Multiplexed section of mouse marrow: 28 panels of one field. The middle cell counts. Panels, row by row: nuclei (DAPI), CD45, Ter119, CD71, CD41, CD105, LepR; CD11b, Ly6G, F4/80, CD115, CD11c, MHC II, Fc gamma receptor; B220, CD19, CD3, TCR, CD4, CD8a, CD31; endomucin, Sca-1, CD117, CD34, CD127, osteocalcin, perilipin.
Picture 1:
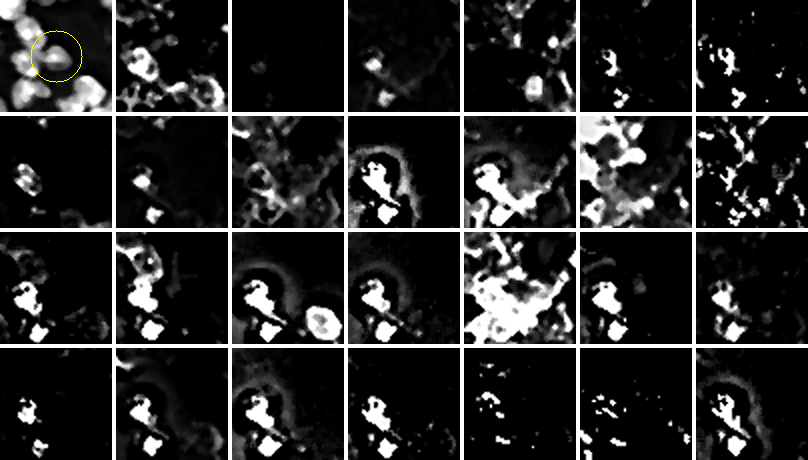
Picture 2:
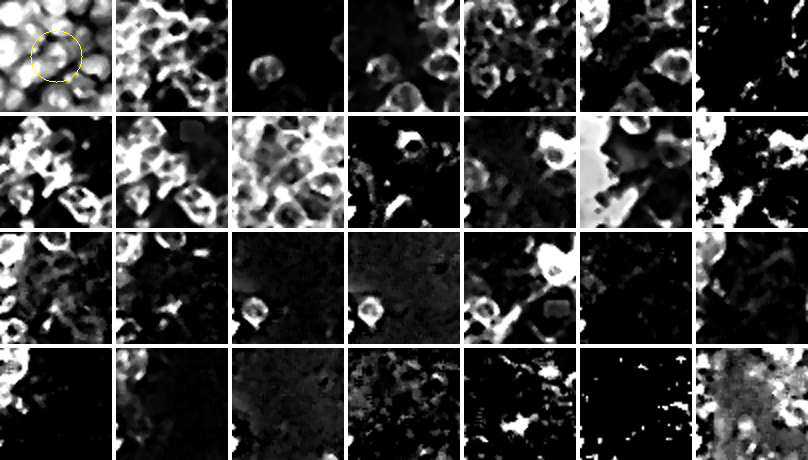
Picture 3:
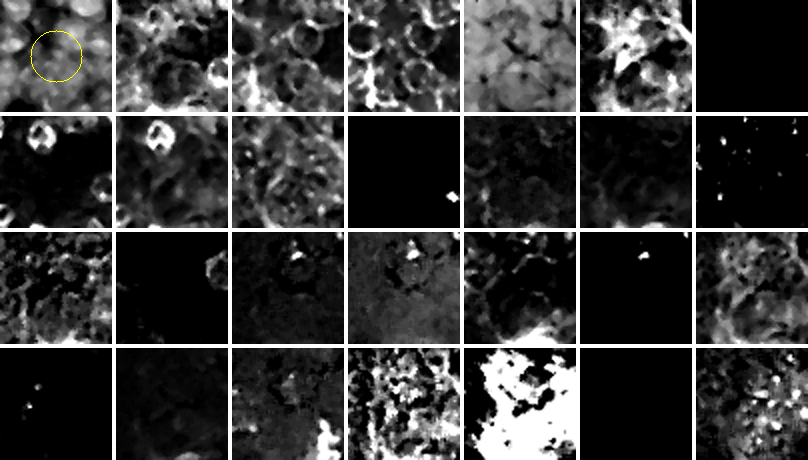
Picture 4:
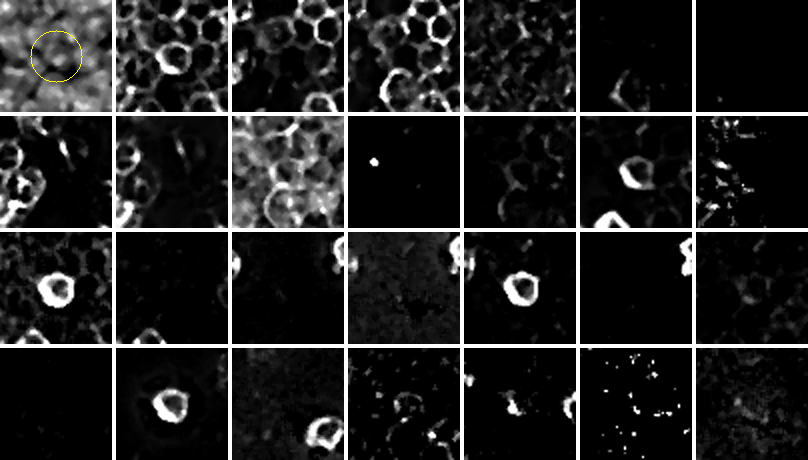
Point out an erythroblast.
That is picture 3.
